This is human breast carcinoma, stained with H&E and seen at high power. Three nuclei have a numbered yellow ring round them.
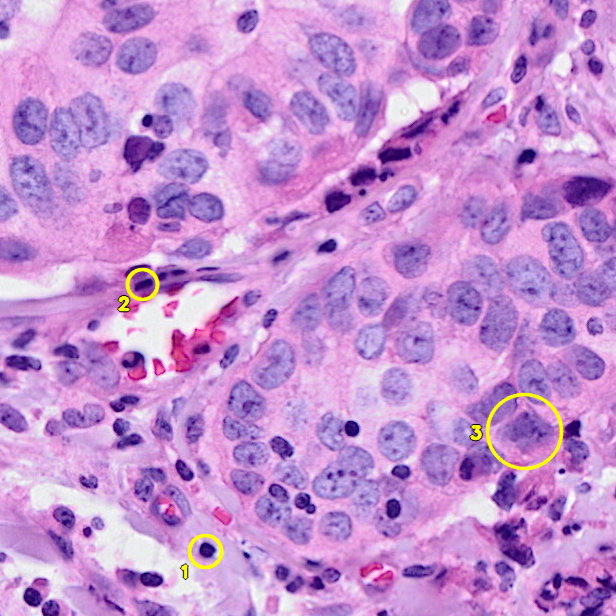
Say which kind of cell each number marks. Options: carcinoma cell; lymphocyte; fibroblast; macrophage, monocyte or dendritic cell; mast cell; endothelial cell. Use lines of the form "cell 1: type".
cell 1: lymphocyte
cell 2: endothelial cell
cell 3: carcinoma cell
